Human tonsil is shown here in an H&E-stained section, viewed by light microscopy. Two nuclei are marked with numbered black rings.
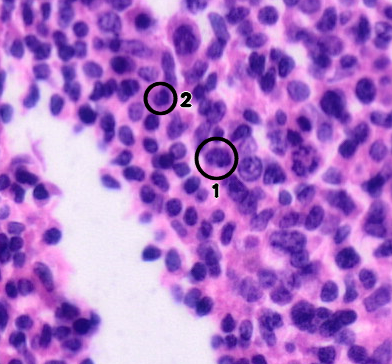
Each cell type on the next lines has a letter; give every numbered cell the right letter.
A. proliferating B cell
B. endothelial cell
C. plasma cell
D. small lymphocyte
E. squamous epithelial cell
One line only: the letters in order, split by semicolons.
A; C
